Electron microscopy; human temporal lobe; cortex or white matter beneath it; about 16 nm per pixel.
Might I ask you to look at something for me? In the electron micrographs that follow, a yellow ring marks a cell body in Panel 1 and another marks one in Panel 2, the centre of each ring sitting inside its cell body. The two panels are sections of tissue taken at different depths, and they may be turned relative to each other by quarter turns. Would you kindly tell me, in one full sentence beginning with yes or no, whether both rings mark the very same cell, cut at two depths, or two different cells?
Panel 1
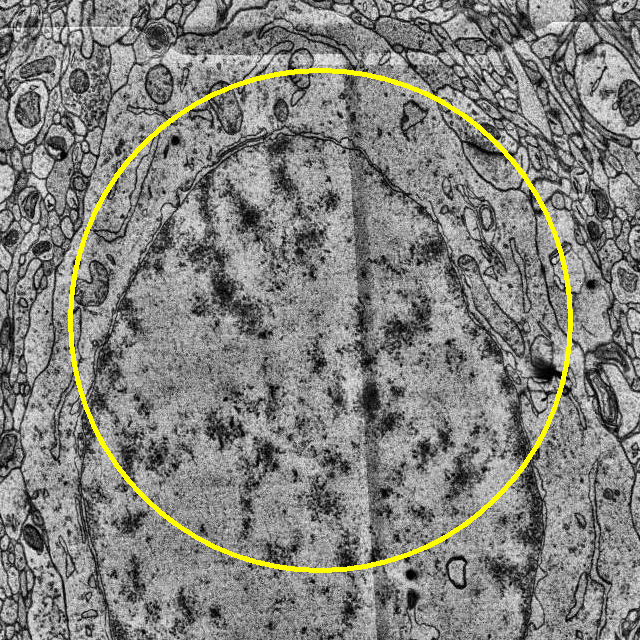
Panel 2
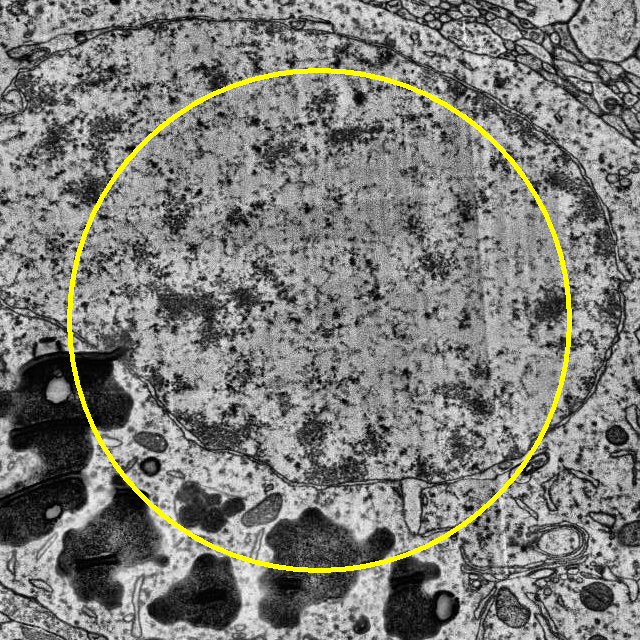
No, the yellow rings highlight two different cells in the tissue.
